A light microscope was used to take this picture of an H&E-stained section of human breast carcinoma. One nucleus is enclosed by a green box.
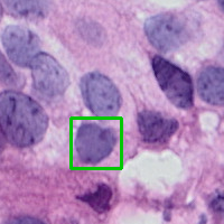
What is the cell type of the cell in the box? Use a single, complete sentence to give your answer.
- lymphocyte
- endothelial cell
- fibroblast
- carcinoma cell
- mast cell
In cellular terms, the cell in the box is a carcinoma cell.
